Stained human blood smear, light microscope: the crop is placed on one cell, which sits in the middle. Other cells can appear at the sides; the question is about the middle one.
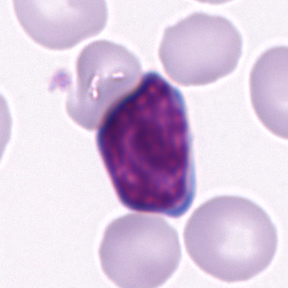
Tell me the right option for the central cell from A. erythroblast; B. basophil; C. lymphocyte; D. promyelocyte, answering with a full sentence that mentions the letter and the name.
The cell centred in the crop is a lymphocyte, and the correct option is thus C.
